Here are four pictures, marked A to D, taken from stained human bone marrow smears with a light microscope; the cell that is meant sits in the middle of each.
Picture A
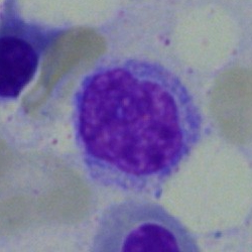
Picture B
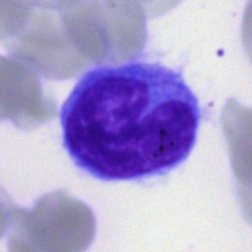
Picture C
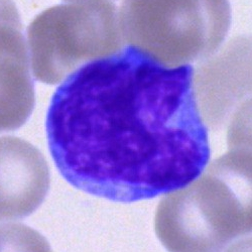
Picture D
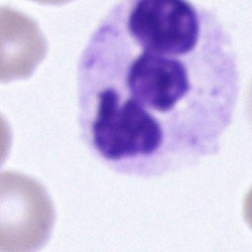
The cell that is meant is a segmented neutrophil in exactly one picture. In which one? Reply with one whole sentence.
It is picture D that shows the segmented neutrophil.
